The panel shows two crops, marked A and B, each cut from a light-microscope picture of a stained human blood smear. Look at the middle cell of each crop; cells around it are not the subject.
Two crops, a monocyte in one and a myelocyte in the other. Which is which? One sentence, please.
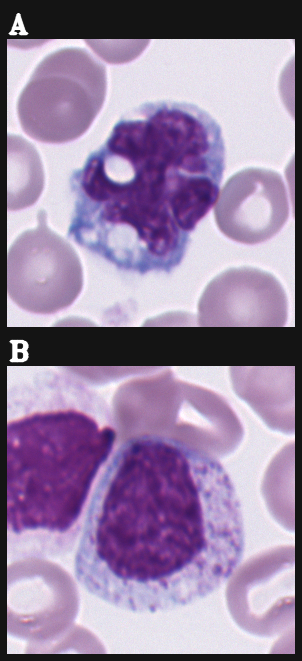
So, crop A is a monocyte, and crop B is a myelocyte.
